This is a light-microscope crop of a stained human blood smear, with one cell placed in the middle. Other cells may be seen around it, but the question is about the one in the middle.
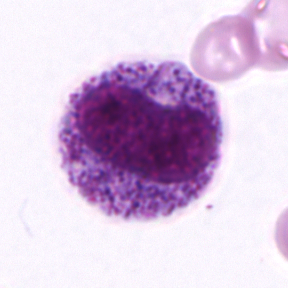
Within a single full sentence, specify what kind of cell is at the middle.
At the middle of the frame sits a metamyelocyte.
